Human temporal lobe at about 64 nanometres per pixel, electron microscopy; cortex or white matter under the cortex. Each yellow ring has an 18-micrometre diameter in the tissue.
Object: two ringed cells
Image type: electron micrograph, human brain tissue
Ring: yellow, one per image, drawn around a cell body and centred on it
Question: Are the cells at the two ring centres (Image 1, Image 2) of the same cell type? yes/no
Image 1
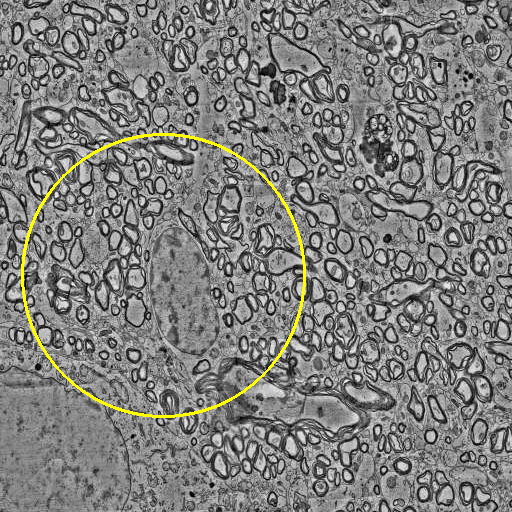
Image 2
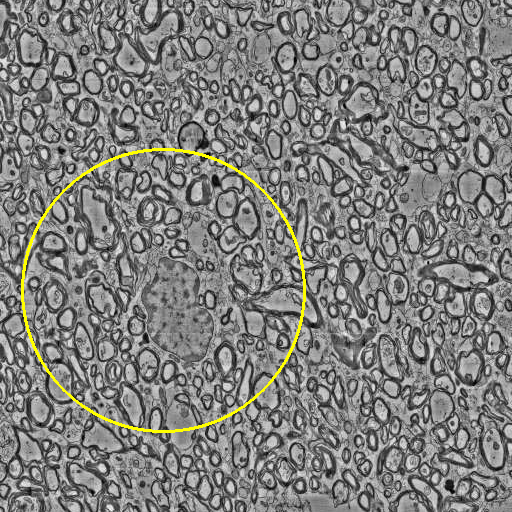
yes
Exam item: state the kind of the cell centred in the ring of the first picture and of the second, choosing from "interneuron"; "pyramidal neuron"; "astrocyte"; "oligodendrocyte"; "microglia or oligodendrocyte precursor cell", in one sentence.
Each of the two rings is centred on a microglial cell or oligodendrocyte precursor cell.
